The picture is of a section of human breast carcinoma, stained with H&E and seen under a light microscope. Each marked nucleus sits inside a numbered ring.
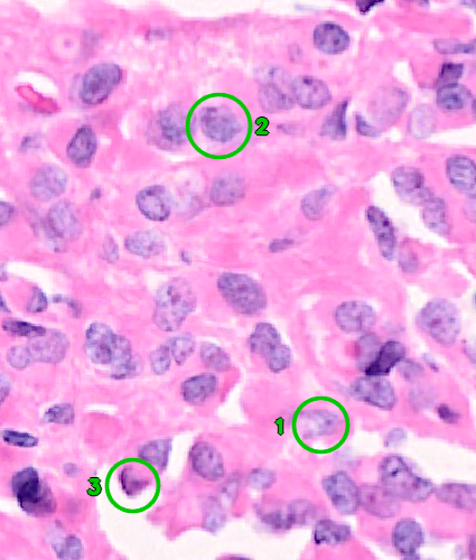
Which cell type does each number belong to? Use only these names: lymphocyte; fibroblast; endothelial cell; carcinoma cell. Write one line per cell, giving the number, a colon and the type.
1: endothelial cell
2: carcinoma cell
3: carcinoma cell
